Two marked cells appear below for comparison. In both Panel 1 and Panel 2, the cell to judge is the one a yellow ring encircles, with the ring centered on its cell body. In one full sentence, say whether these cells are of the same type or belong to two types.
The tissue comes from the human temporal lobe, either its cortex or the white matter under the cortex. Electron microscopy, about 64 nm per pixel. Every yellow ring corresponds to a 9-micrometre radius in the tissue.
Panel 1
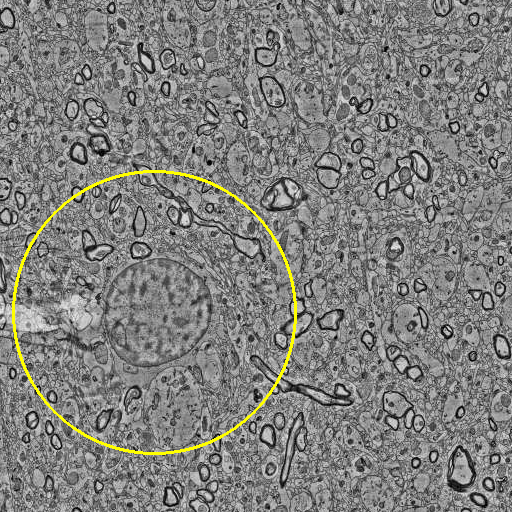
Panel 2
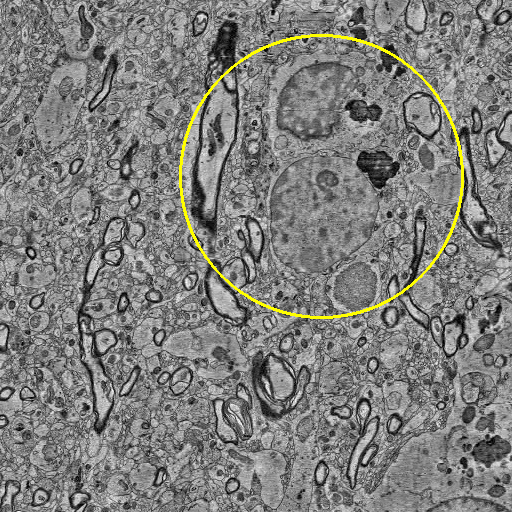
The cell centered in the Panel 1 ring and the one in Panel 2 are of the same type.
